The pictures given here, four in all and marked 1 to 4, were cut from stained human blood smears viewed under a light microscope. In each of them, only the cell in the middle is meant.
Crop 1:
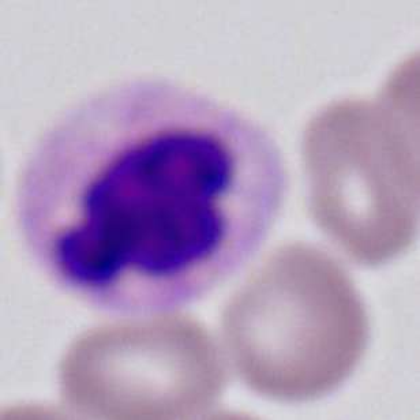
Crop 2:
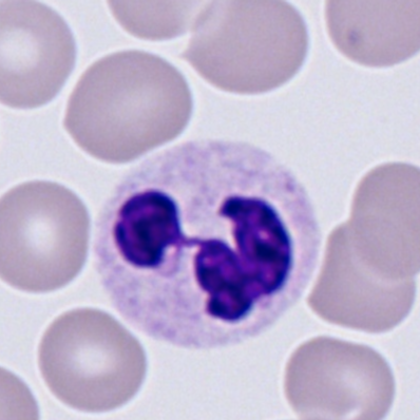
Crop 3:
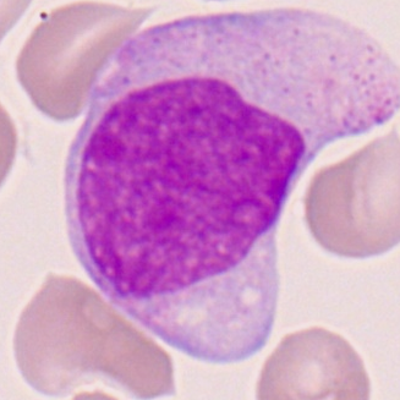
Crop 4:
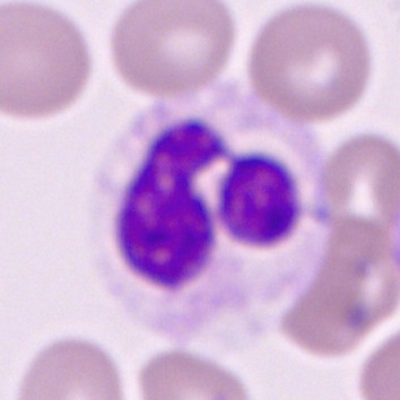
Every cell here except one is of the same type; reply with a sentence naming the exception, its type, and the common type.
In this set the other crops all show segmented neutrophils, and crop 3 shows a monocyte.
